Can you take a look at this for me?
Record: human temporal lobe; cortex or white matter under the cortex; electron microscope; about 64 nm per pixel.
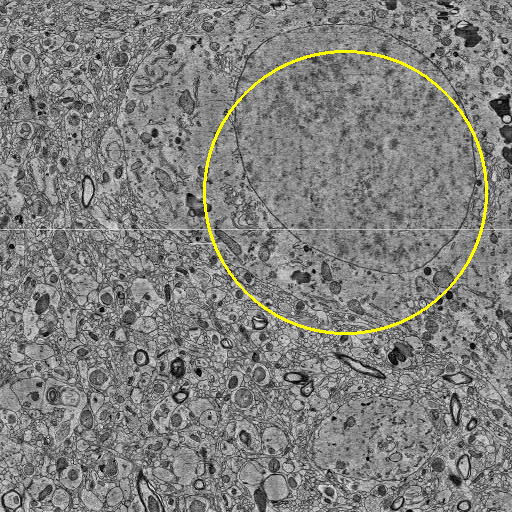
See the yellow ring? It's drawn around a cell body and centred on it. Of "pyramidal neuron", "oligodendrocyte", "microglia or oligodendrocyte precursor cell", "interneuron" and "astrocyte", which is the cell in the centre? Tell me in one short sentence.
The one in the centre is a pyramidal neuron.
